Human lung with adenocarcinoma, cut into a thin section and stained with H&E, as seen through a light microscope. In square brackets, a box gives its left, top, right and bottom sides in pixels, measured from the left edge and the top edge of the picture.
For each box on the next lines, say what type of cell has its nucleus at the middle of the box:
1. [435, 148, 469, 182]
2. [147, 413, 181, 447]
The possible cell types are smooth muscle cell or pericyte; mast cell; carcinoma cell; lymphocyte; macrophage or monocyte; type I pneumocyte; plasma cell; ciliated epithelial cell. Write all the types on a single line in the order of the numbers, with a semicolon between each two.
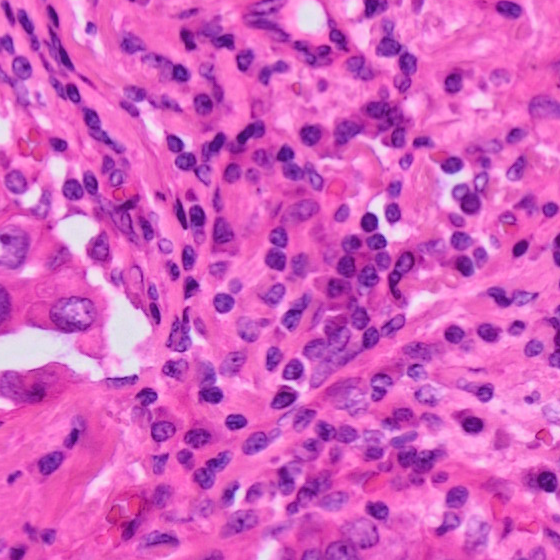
lymphocyte; plasma cell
